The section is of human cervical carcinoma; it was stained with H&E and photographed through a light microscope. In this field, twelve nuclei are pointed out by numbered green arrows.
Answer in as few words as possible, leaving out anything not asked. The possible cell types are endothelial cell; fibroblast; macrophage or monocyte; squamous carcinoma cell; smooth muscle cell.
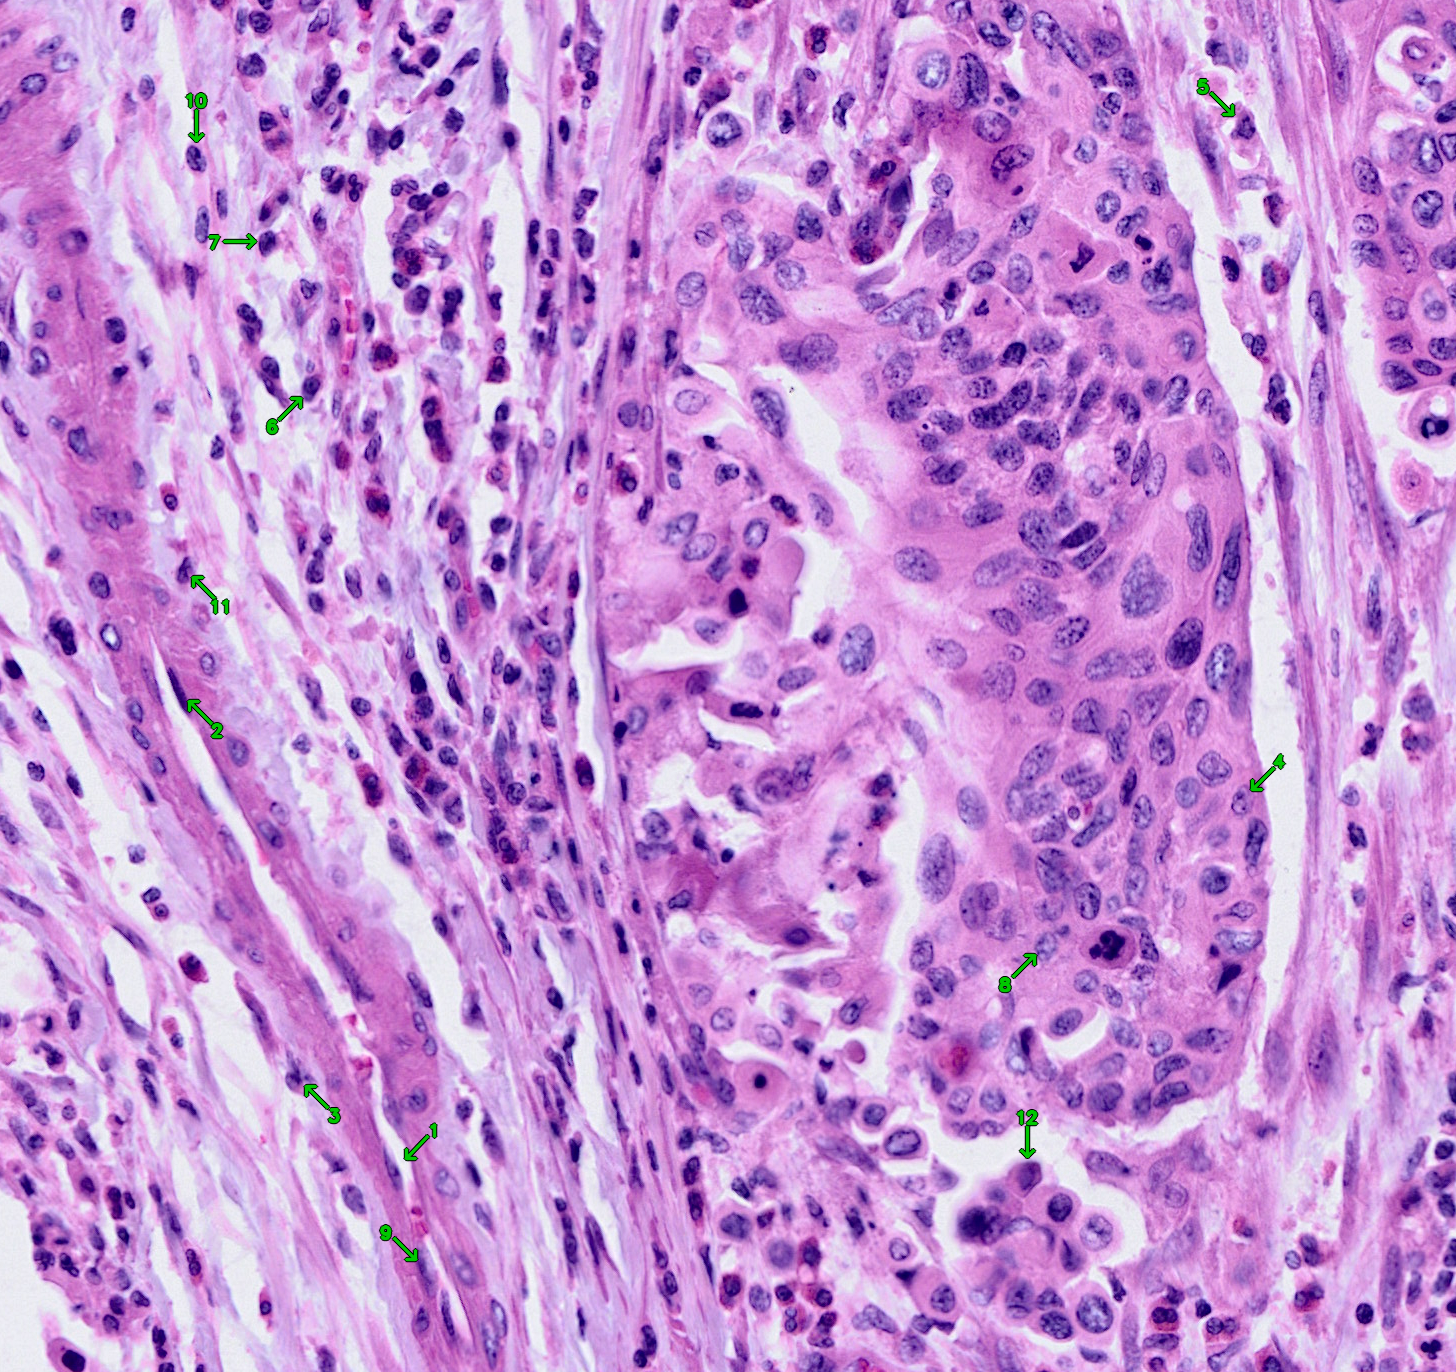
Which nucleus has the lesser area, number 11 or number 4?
11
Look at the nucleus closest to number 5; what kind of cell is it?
fibroblast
